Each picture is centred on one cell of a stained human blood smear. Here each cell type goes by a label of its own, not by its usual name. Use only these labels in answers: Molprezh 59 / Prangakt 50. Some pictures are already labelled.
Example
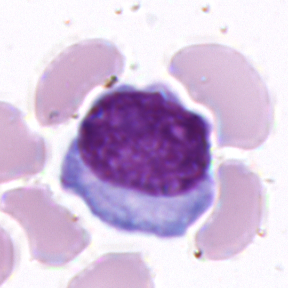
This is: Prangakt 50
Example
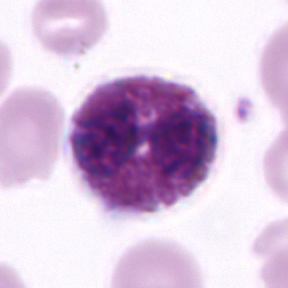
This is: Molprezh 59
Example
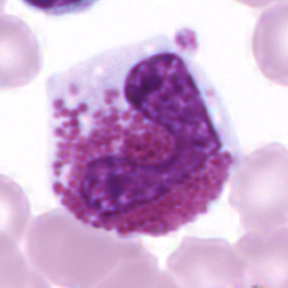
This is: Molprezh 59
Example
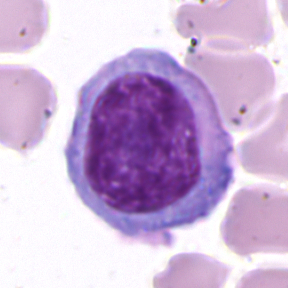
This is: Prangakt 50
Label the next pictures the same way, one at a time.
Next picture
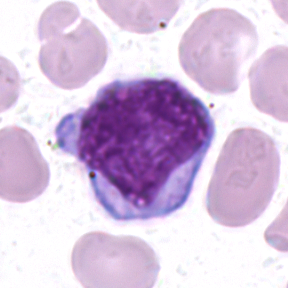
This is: Prangakt 50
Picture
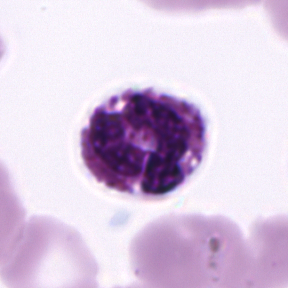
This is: Molprezh 59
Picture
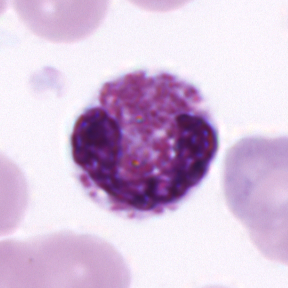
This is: Molprezh 59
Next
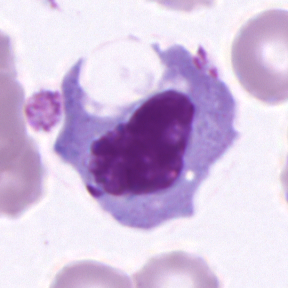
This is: Prangakt 50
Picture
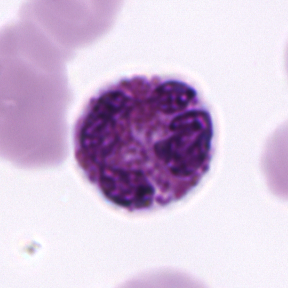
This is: Molprezh 59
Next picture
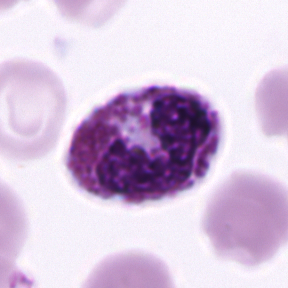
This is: Molprezh 59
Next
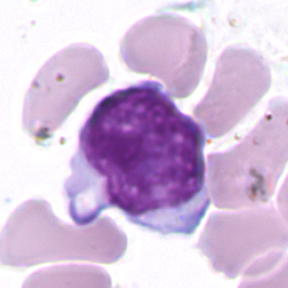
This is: Prangakt 50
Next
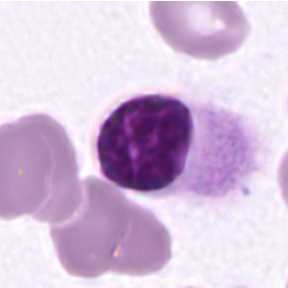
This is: Prangakt 50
